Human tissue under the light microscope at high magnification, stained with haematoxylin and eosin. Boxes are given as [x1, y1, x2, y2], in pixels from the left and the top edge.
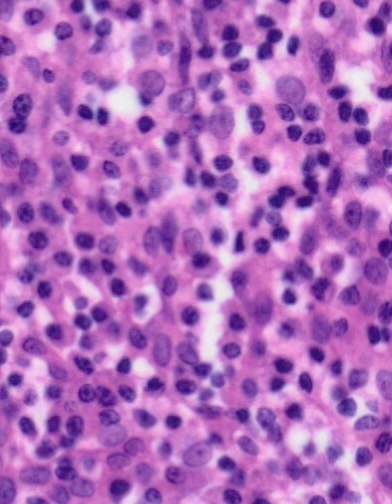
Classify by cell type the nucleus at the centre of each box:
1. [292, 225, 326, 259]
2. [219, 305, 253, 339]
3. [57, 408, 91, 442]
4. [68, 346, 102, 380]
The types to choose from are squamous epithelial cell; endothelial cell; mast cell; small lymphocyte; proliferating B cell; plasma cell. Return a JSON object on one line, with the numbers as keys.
{"1": "squamous epithelial cell", "2": "plasma cell", "3": "plasma cell", "4": "plasma cell"}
